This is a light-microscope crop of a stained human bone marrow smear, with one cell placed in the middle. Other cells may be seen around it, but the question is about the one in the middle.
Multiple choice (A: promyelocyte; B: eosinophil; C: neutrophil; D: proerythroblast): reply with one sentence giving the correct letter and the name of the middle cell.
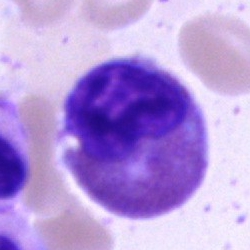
Identified correctly by option B, the cell in the middle is an eosinophil.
